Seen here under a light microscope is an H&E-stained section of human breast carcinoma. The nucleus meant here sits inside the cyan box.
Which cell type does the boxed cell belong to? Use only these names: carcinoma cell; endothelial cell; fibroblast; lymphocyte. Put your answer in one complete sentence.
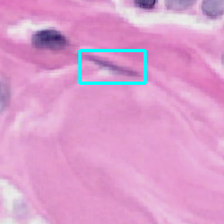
The correct response here is that the boxed cell is a fibroblast.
